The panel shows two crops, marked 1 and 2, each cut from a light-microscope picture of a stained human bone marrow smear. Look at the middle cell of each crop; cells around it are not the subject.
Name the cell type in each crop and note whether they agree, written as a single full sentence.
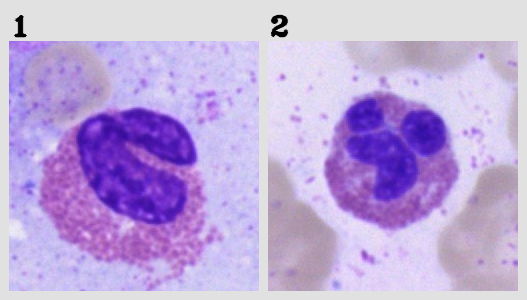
Yes, both crops contain eosinophils at their centres.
